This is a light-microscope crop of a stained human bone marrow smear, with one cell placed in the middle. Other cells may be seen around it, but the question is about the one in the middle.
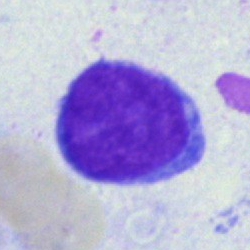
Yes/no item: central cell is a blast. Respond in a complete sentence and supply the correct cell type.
Yes, the cell at the very centre of the crop is a blast.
